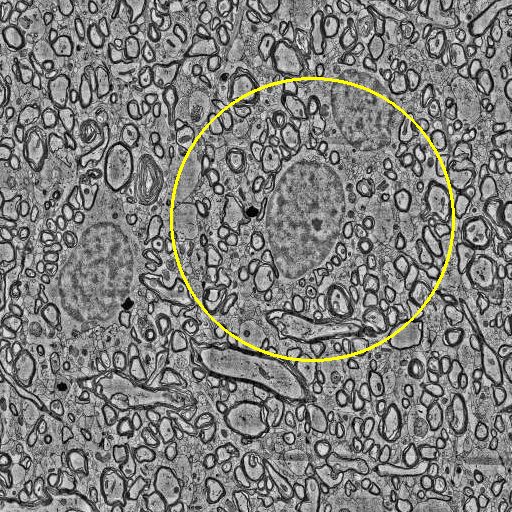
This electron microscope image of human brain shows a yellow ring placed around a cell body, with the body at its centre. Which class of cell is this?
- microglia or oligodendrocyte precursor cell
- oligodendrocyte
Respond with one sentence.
The cell body at the ring's centre is an oligodendrocyte.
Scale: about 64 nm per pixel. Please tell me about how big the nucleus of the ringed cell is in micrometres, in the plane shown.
In this plane the nucleus is about 8 micrometres by 6.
